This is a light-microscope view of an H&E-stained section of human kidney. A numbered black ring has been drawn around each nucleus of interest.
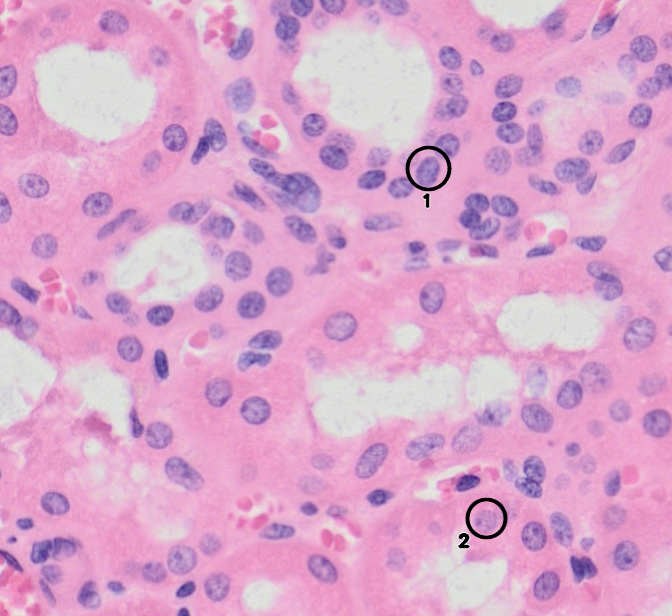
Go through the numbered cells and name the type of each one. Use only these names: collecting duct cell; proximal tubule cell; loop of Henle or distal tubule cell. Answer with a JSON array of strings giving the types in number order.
["collecting duct cell", "proximal tubule cell"]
